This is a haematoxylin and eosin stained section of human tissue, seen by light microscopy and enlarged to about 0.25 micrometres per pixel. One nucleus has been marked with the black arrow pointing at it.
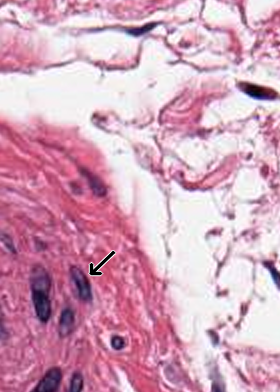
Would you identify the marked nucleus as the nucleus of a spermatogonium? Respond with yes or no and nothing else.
no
